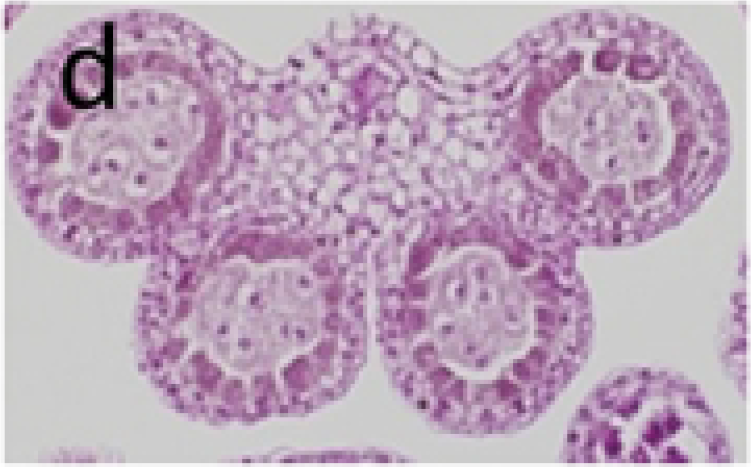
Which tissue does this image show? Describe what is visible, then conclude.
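Anther. Four rounded lobes around a central connective tissue. Each lobe has concentric cell layers around a central cell mass.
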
